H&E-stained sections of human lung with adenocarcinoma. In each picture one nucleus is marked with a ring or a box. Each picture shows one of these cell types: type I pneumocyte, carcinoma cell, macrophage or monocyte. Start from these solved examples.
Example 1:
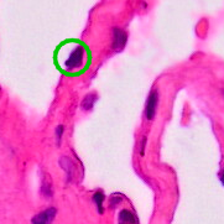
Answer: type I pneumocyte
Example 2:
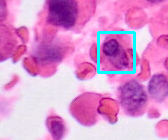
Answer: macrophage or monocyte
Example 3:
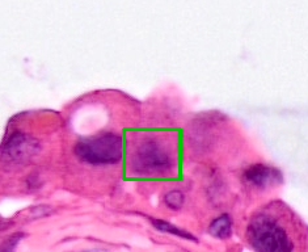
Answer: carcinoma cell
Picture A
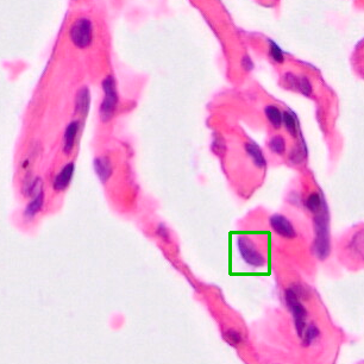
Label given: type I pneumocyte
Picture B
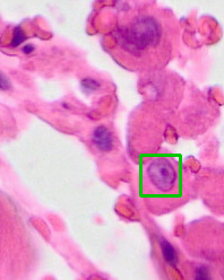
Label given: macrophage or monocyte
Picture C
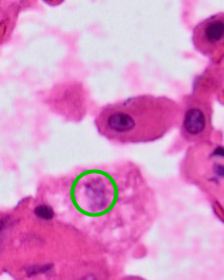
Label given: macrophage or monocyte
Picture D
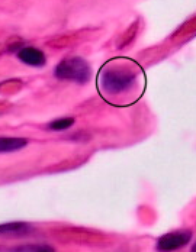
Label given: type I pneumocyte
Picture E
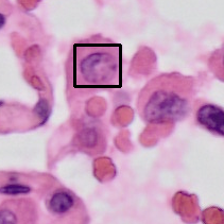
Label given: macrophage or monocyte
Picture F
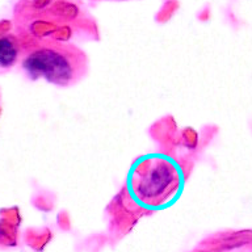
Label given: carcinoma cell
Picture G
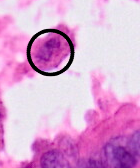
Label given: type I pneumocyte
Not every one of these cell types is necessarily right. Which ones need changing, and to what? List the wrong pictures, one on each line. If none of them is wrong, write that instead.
F is labelled carcinoma cell; correct label: macrophage or monocyte
G is labelled type I pneumocyte; correct label: macrophage or monocyte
